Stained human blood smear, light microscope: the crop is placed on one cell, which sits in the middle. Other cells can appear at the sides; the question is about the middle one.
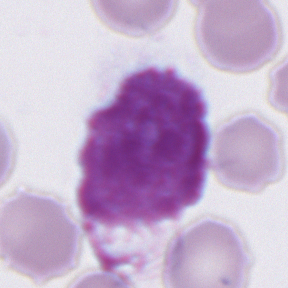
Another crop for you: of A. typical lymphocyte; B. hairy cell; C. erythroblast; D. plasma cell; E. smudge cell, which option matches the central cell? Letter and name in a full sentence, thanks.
This one is option E, since the cell at the center is a smudge cell.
